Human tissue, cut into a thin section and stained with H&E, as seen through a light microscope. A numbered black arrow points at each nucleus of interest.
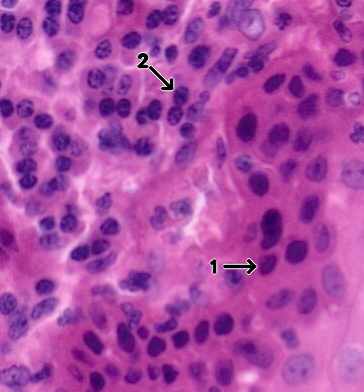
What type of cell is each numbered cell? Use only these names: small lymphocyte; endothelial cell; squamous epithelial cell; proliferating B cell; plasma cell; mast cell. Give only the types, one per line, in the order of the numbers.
squamous epithelial cell
plasma cell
